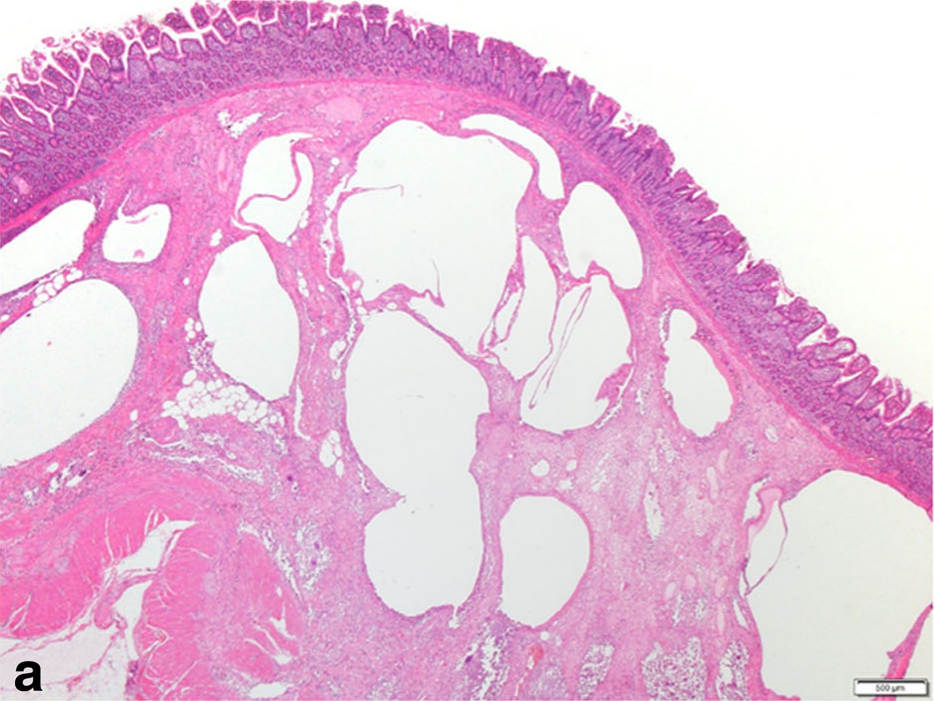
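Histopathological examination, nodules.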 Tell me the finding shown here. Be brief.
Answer: multiple gas-filled cysts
